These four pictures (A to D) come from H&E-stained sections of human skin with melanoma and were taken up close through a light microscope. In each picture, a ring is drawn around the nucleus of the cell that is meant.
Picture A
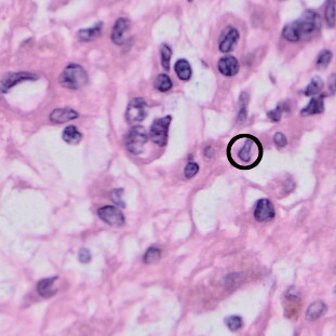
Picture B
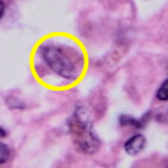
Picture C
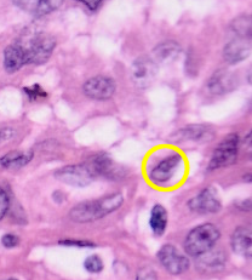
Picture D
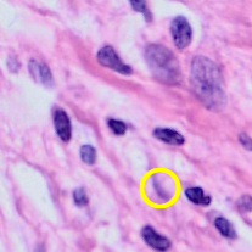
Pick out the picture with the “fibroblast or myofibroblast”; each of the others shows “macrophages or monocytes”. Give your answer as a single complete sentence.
Picture D shows the “fibroblast or myofibroblast”.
